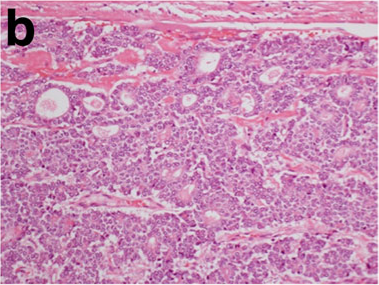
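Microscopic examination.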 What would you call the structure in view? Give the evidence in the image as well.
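Small round glandular spaces with pink luminal material are scattered among the cells. Elsewhere the cells form sheets without lumina. On this evidence: acinar and solid architectural patterns.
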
